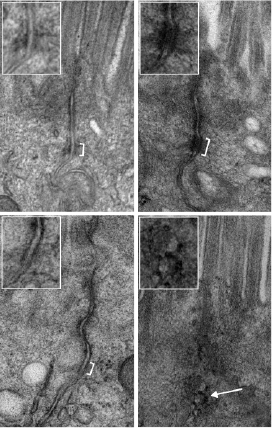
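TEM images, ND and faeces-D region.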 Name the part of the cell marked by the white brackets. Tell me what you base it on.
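Short electron-dense plaques lie on the facing membranes of two neighbouring cells where the brackets point. The insets enlarge the dense junctional plaques. The answer: desmosomes.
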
